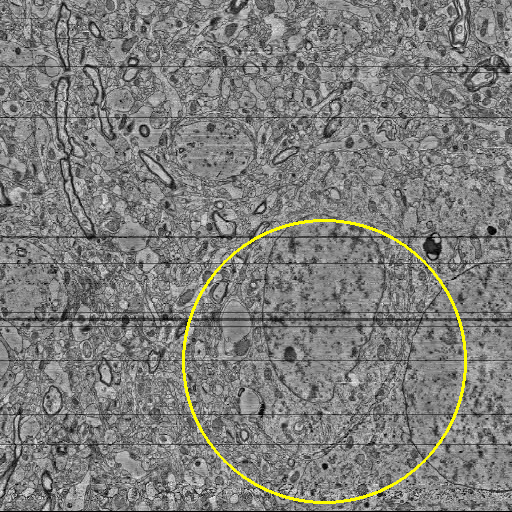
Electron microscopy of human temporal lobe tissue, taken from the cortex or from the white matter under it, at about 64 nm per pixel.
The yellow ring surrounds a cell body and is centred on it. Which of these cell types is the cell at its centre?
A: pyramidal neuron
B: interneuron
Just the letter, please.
B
